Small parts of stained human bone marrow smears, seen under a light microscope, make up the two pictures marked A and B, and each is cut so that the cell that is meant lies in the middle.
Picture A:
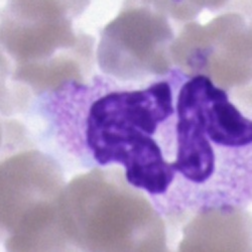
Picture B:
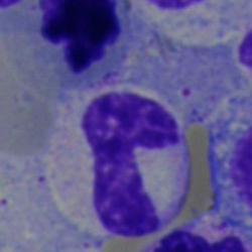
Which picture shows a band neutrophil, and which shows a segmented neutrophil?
A: segmented neutrophil
B: band neutrophil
